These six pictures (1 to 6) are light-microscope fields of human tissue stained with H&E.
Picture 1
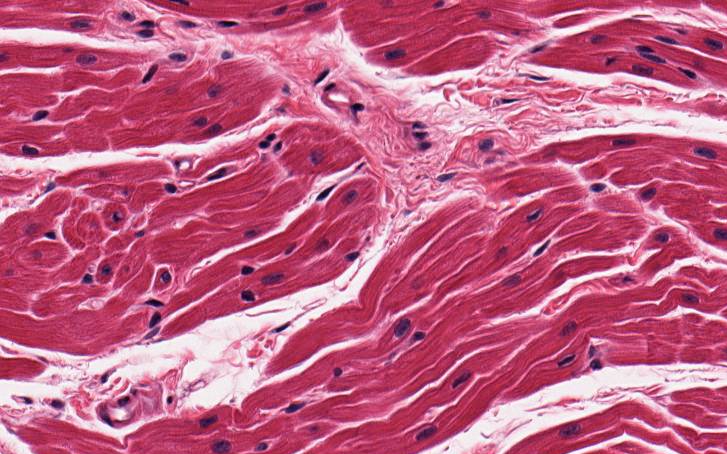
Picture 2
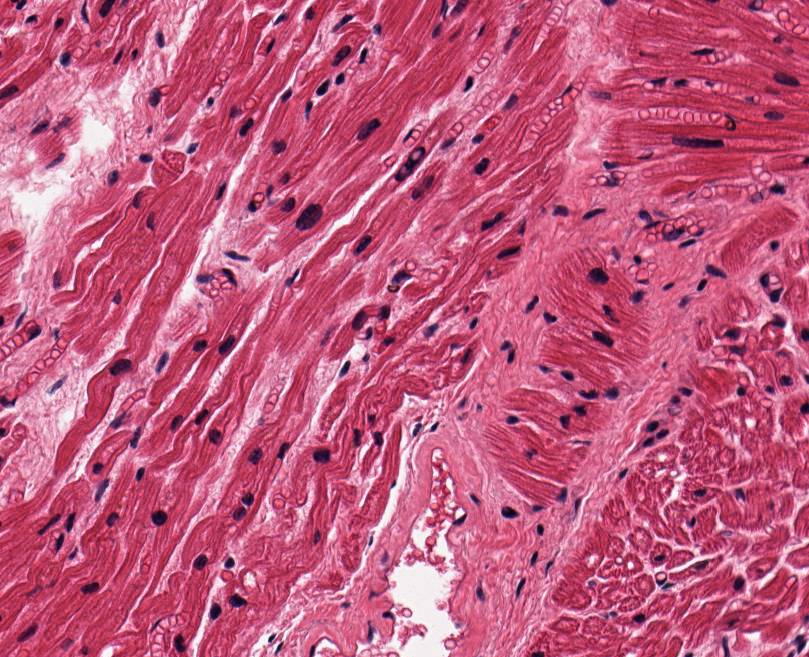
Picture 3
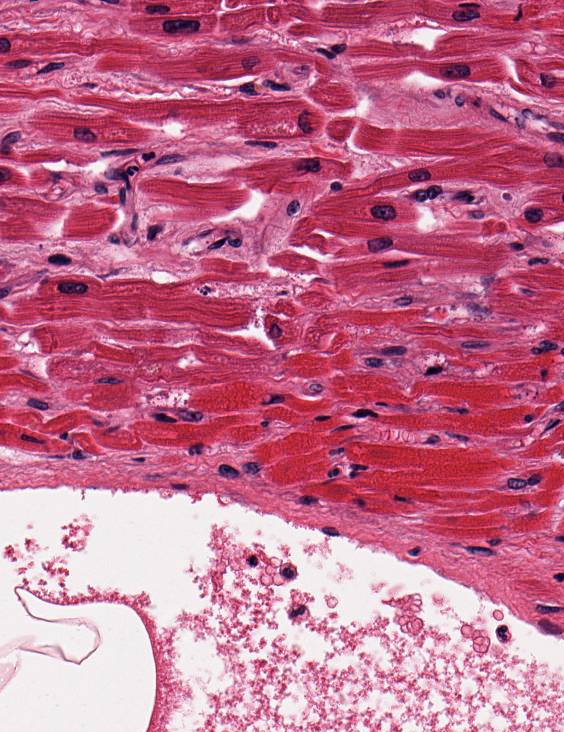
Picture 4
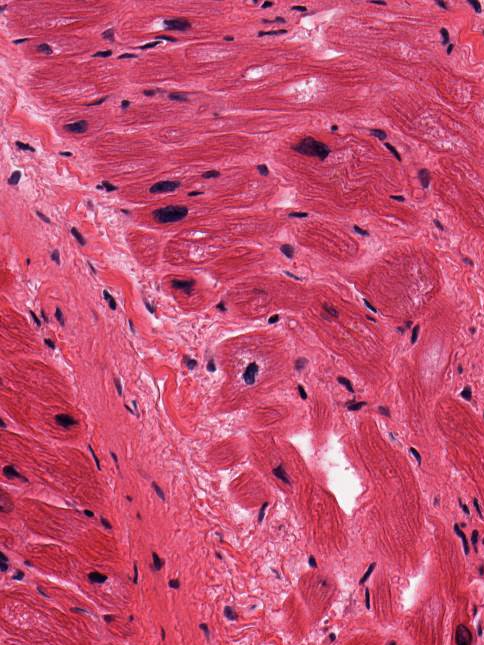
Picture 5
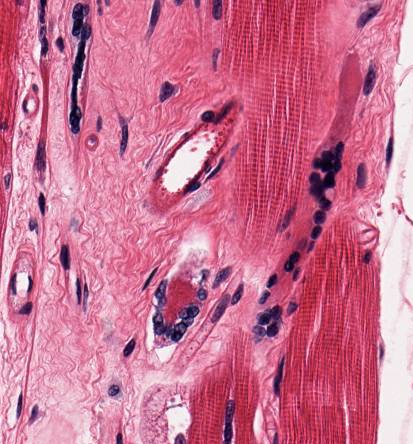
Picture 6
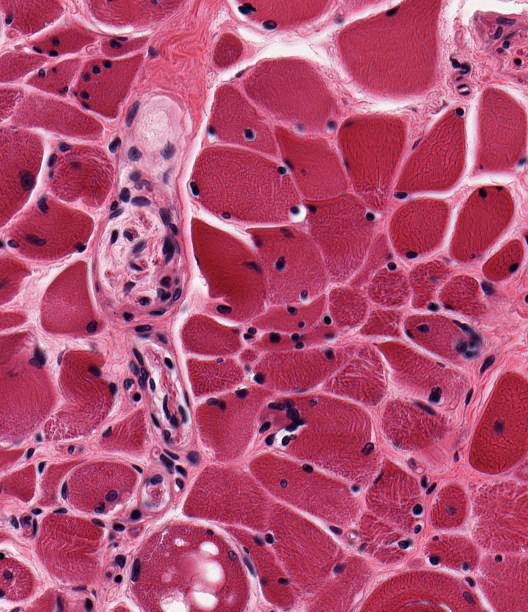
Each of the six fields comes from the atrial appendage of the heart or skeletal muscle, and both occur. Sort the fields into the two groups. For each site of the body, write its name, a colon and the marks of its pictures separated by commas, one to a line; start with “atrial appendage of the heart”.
atrial appendage of the heart: 1, 2, 3, 4
skeletal muscle: 5, 6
